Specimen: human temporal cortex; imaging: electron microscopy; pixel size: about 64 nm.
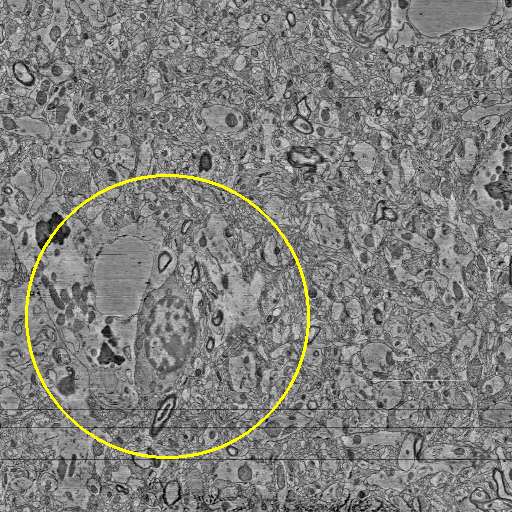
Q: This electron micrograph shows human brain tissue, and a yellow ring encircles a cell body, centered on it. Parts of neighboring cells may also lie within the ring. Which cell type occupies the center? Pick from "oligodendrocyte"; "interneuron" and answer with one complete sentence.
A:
What sits at the ring's center in this micrograph is an oligodendrocyte, among those choices.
